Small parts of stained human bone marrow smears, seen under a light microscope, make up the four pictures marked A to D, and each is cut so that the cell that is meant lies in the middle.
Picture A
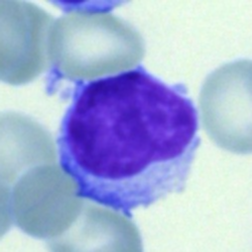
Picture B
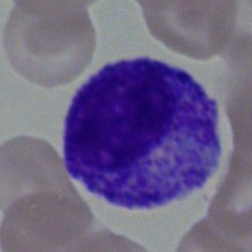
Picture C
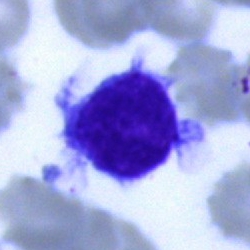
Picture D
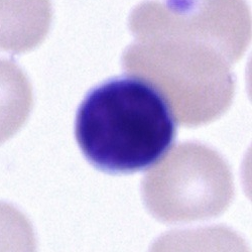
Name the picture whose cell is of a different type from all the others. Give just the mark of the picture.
B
